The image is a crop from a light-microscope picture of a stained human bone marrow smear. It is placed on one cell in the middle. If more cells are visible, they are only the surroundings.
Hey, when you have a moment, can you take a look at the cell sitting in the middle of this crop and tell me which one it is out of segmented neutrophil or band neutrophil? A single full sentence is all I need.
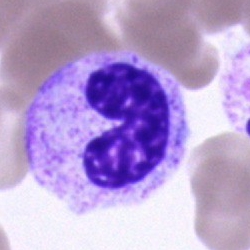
Present in the middle of the crop is a band neutrophil.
